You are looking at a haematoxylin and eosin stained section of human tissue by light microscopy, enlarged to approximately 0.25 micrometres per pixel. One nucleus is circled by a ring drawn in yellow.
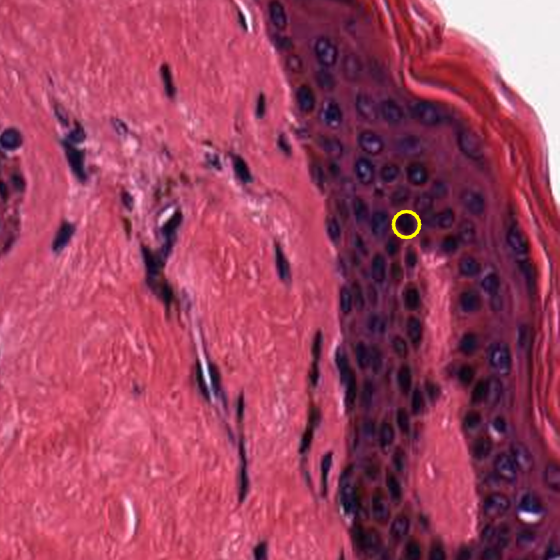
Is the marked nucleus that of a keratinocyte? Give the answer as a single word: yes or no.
yes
